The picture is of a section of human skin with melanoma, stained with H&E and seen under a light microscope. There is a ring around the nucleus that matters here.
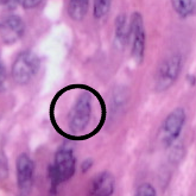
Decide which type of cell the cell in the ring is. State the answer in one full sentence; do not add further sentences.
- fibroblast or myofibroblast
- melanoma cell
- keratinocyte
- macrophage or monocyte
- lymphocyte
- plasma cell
In this section of tissue, the cell in the ring is a melanoma cell.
